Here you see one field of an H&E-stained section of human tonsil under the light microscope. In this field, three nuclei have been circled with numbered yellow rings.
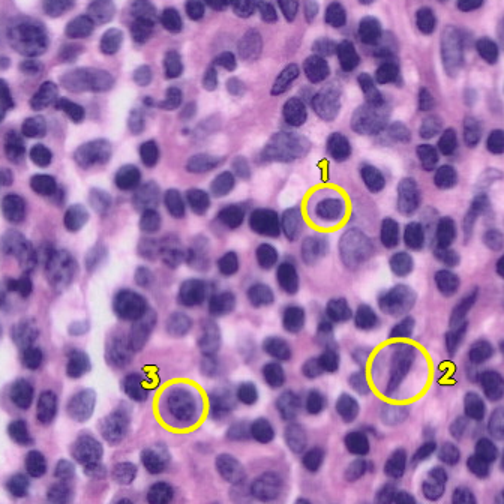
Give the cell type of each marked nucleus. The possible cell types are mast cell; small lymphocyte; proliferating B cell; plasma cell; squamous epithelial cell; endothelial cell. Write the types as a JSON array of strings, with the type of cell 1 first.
["endothelial cell", "endothelial cell", "plasma cell"]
